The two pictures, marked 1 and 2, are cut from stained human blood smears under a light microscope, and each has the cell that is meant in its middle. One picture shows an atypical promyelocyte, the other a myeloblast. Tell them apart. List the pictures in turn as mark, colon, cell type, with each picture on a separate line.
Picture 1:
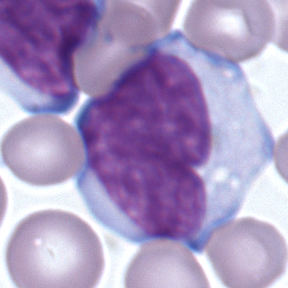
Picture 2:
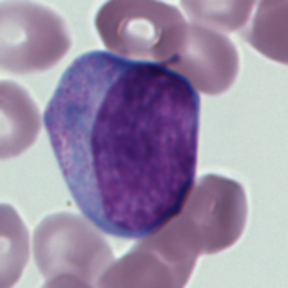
1: myeloblast
2: atypical promyelocyte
